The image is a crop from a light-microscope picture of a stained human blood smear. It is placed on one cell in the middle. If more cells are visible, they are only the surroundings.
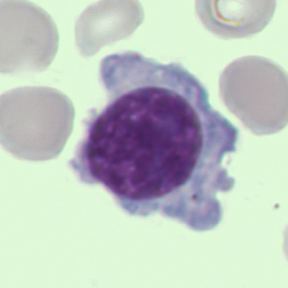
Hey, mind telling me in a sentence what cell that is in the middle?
For this crop, the cell in the middle is a plasma cell.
